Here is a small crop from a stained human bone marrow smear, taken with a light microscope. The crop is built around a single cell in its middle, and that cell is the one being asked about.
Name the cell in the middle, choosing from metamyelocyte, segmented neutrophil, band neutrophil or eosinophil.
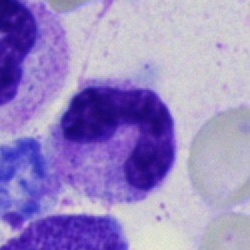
band neutrophil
